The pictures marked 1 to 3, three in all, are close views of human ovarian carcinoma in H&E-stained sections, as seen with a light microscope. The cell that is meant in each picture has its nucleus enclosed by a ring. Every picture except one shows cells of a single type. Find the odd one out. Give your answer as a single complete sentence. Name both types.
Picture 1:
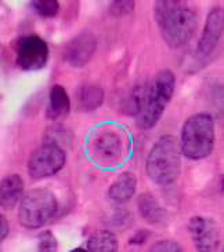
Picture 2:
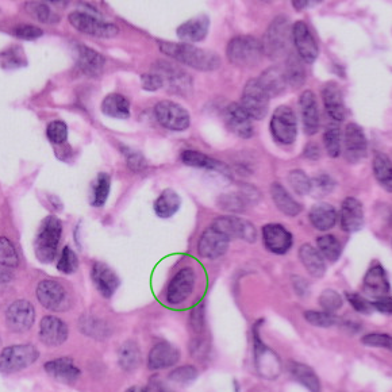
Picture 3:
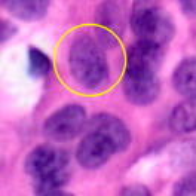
All pictures except 1 show carcinoma cells; picture 1 shows a “macrophage or monocyte”.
